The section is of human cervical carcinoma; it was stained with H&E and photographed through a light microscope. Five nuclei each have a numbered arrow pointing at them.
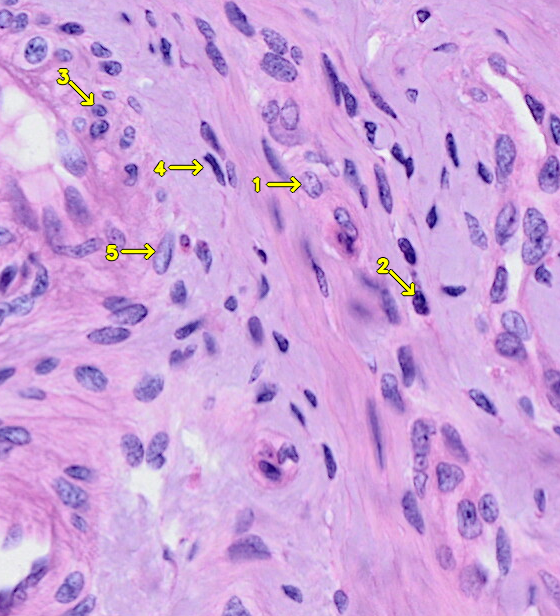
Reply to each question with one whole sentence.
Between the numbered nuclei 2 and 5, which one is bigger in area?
It is nucleus 5, which covers about 1.5 times the area of nucleus 2.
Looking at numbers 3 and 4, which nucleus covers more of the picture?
The larger nucleus is 4, at roughly 1.5 times the area of 3.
